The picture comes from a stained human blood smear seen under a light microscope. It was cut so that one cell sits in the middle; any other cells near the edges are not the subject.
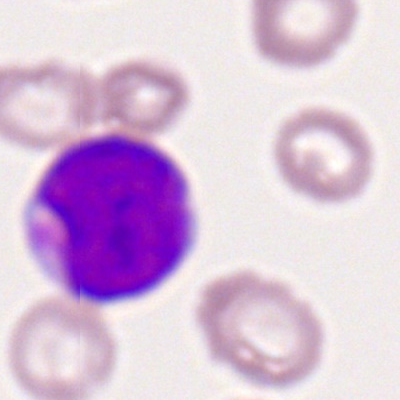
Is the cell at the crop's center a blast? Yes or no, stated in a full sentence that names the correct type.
Yes, the middle cell here is a blast.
